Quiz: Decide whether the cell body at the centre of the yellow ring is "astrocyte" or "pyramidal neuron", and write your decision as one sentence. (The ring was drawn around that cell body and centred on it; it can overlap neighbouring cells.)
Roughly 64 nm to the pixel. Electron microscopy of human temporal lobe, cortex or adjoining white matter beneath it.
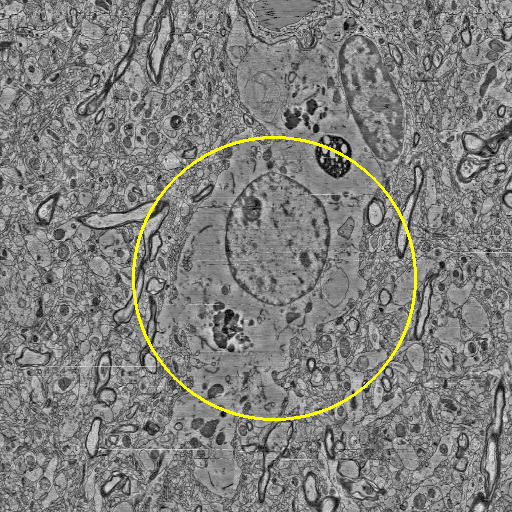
The cell the ring is centred on is an astrocyte.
